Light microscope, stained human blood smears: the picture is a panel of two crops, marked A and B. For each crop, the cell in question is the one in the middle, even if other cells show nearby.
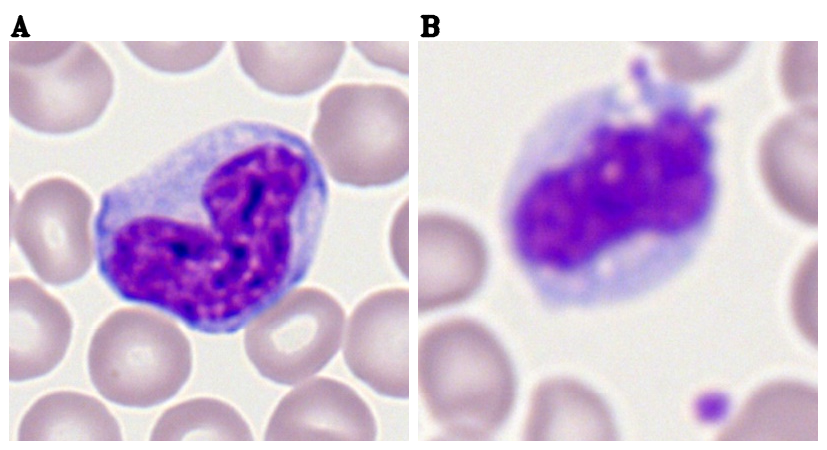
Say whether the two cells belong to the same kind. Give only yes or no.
yes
